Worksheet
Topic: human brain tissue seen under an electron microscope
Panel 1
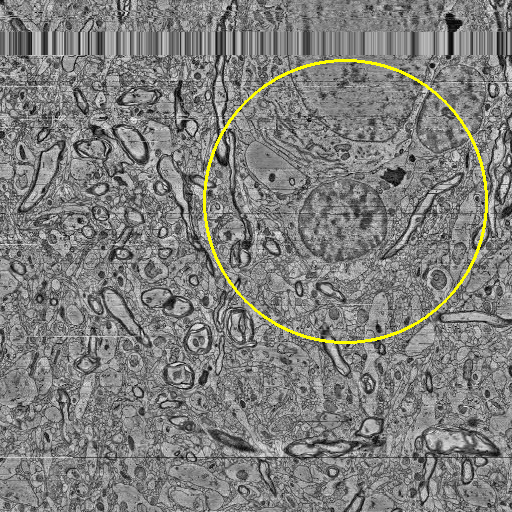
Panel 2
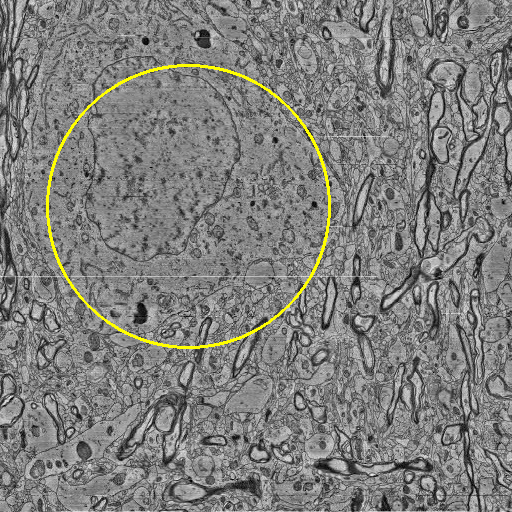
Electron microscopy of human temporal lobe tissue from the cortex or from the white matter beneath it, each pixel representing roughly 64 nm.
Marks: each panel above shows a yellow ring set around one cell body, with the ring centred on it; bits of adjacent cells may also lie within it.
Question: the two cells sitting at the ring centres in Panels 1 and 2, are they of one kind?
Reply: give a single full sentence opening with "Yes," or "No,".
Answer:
No, the two ring-centre cells in Panel 1 and Panel 2 are of two kinds.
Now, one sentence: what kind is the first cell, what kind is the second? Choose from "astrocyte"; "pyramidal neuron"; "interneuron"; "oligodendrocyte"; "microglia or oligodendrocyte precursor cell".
The first picture has an oligodendrocyte at its ring centre, and the second has a pyramidal neuron.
